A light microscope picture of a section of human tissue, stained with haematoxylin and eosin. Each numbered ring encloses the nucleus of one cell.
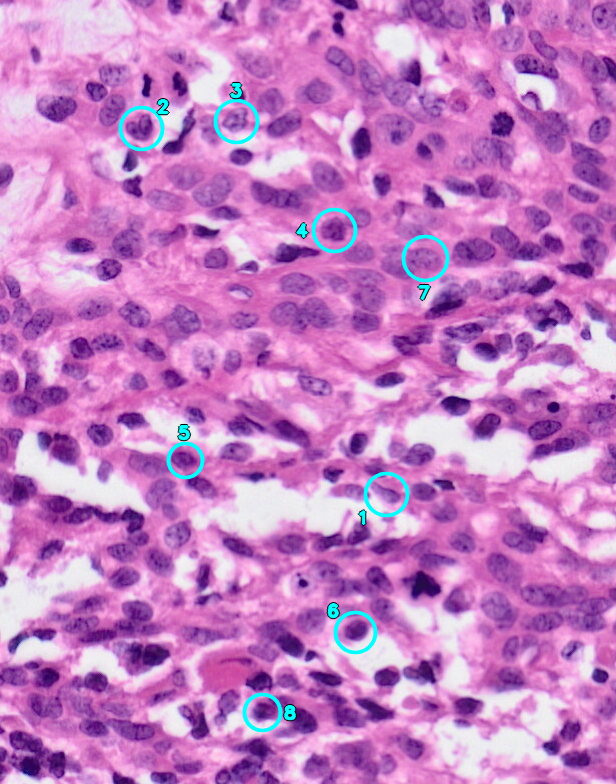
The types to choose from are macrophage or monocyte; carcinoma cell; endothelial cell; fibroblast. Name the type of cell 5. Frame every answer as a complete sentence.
The cell bearing label 5 corresponds to a carcinoma cell.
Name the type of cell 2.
Corresponding to a macrophage or monocyte is the cell labelled 2.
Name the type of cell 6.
The one labeled 6 is a carcinoma cell, to put it simply.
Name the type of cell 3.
The one numbered 3 among the marked cells is a macrophage or monocyte.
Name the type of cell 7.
The marked nucleus 7 is that of a carcinoma cell.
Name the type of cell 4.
The cell marked with the number 4 is a carcinoma cell.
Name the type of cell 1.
Number 1 is placed on a macrophage or monocyte here.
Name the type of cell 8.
Among the marked cells, number 8 is a carcinoma cell.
